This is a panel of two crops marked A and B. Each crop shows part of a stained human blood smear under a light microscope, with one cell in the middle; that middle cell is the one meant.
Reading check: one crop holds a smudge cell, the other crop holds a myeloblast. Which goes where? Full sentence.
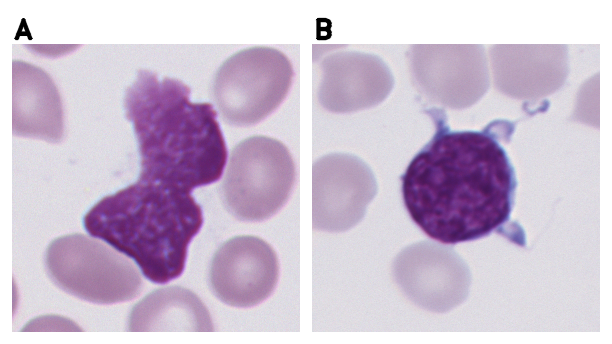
Identification: crop A is a smudge cell; crop B is a myeloblast.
